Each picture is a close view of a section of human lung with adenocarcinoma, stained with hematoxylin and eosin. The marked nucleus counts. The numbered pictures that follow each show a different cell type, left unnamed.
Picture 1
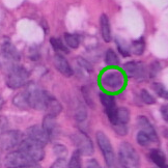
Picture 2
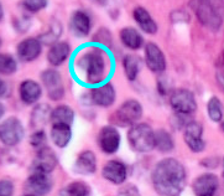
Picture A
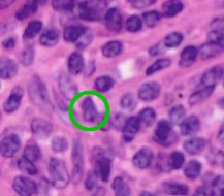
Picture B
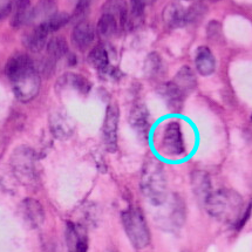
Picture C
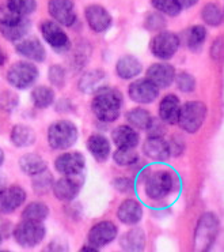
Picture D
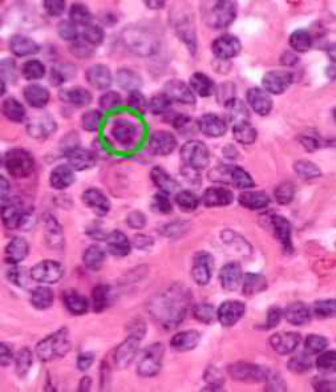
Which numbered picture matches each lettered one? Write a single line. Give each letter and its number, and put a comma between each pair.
A 2, B 1, C 2, D 2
